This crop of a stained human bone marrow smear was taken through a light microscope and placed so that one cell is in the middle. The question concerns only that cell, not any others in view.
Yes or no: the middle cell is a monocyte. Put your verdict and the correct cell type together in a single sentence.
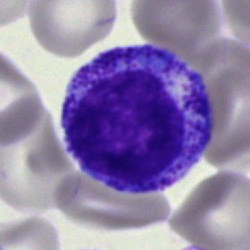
No, the centre of the crop contains a myelocyte rather than a monocyte.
